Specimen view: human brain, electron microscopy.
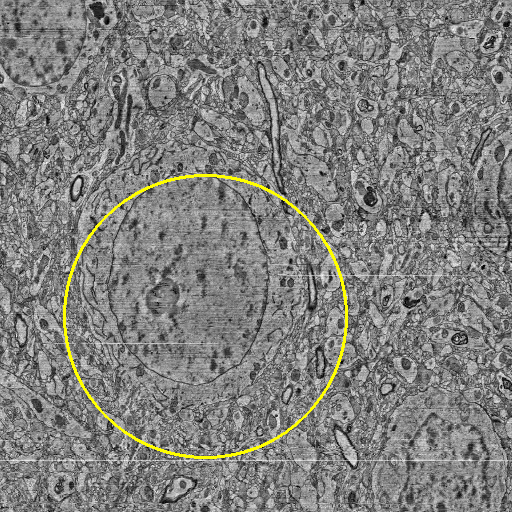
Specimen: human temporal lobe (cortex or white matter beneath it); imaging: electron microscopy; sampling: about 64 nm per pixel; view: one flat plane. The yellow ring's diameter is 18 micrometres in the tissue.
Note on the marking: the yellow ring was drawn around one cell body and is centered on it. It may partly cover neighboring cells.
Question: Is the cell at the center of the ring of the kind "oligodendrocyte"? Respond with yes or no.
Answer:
no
